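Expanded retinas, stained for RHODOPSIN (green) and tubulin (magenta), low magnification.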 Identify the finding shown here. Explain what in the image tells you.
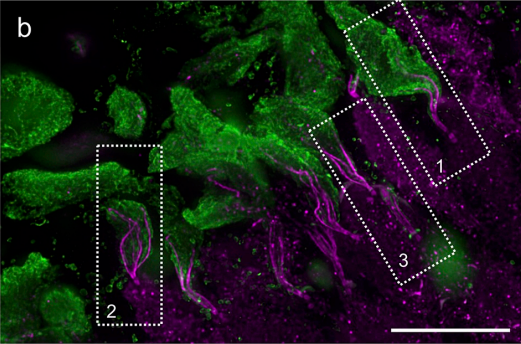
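The green blocks are irregular, tilted and crumpled rather than upright, parallel columns. The green masses are of uneven size and lie at varied angles. That points to this answer: outer segment collapse.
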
